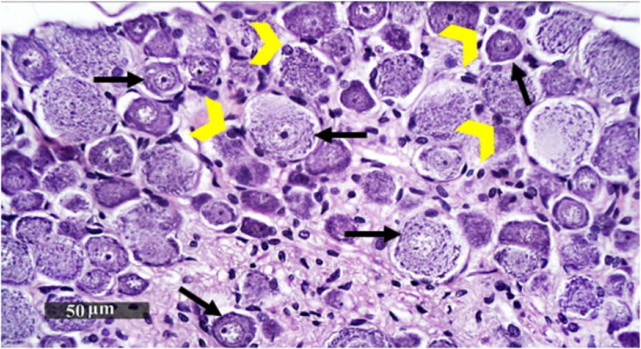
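This section shows a dense collection of large and small neuronal cell bodies with granular purple cytoplasm. Many have a round pale nucleus with a prominent dark nucleolus placed centrally. Small flattened satellite cells with dark nuclei closely surround the neuronal cell bodies. Between the groups of cells lies pale pink fibrous tissue with scattered small elongated nuclei.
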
